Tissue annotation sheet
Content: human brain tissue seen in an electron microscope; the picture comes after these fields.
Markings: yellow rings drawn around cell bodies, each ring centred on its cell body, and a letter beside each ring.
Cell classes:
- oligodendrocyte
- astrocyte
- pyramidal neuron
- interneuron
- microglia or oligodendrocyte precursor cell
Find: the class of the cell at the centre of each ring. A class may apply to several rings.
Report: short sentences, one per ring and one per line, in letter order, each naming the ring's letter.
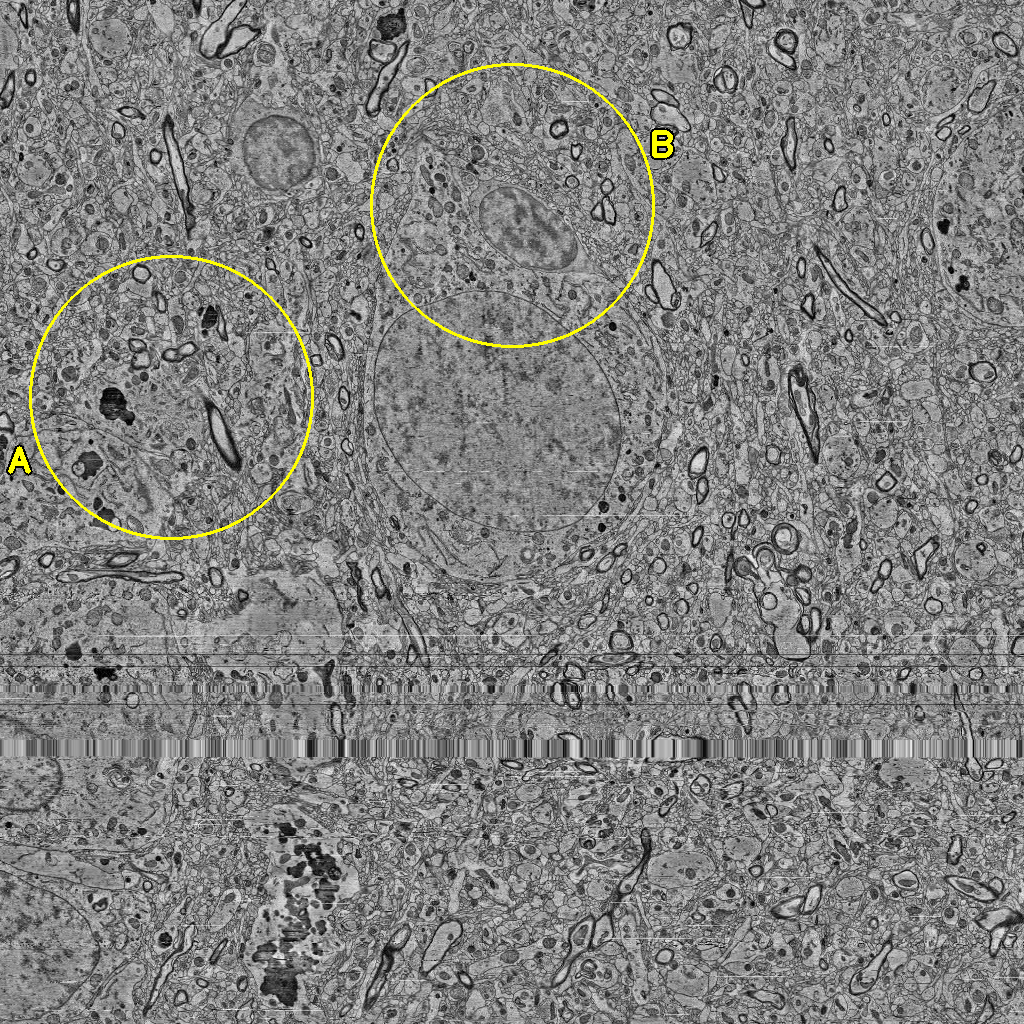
Ring A holds an oligodendrocyte at its centre.
Ring B holds an oligodendrocyte at its centre.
